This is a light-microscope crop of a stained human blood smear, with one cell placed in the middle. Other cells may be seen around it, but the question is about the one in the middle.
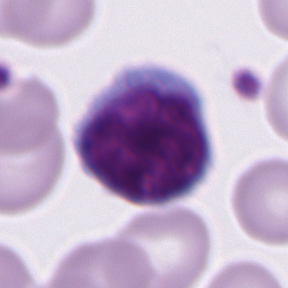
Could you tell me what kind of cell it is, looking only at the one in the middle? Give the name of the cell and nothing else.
lymphocyte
